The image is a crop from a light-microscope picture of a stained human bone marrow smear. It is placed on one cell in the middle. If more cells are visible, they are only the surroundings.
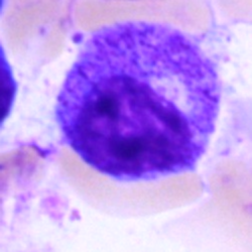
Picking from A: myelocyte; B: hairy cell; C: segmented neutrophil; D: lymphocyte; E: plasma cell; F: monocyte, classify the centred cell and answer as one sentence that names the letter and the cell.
The cell placed in the middle is a myelocyte; option A is correct.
